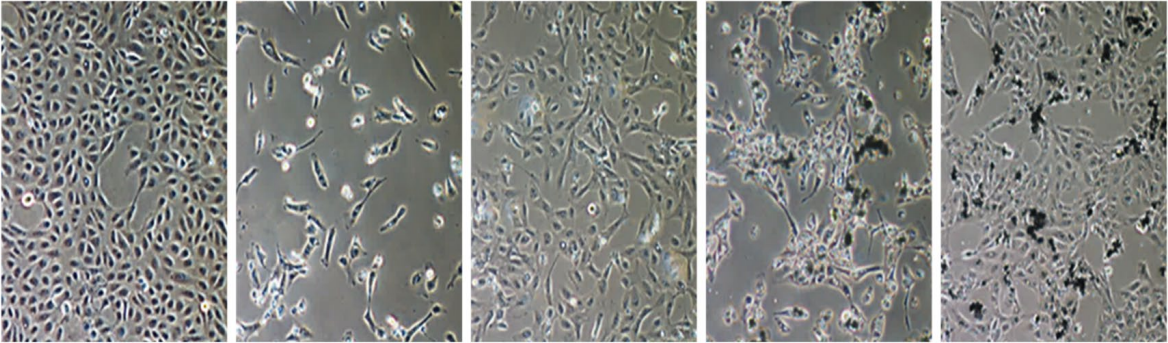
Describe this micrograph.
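A row of phase-contrast views of cultured cells. In the first view the cells form a dense, continuous monolayer of polygonal, cobblestone-like cells, each with a distinct nucleus. In the second view the layer is sparse, with wide empty gaps. Many cells there are elongated or spindle-shaped, and some are small, rounded and bright, as if detaching. The middle view is intermediate, with more cells than the second but many of them elongated. The last two views show clustered, irregular cells among dark black clumps of deposited material.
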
